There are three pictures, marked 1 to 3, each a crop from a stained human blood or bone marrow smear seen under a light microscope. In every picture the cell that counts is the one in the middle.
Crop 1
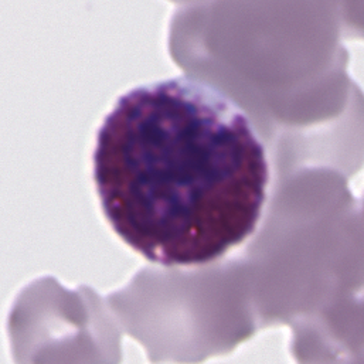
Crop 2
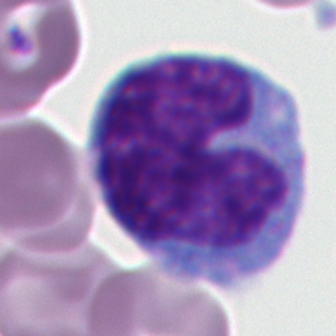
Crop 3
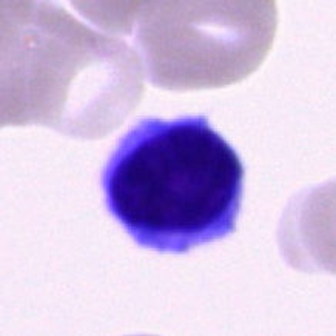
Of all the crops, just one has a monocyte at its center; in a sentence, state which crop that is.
The crop in which a monocyte is shown is crop 2.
